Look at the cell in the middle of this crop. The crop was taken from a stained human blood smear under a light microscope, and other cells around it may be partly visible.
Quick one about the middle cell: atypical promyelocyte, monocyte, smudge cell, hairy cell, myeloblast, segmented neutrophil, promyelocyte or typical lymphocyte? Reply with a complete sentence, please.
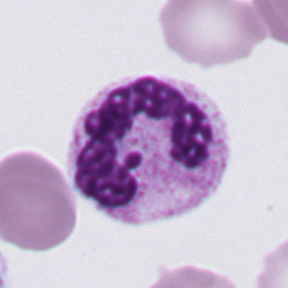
The central element of this crop is a cell, namely a segmented neutrophil.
